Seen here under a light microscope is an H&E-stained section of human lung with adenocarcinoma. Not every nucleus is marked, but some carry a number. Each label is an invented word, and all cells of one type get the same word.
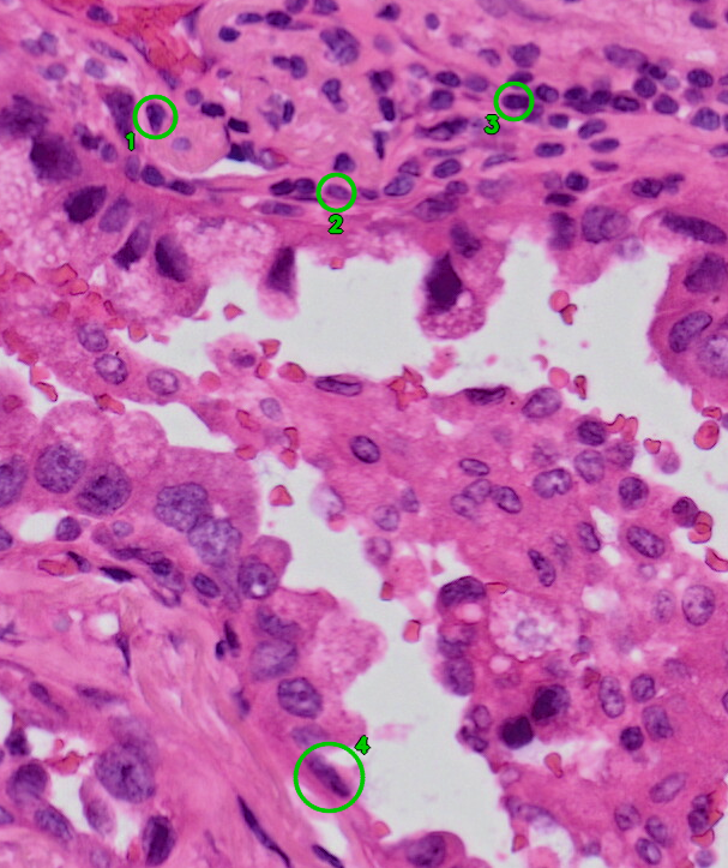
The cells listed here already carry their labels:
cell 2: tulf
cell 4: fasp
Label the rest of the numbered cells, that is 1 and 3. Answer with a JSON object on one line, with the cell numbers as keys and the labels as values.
{"1": "tulf", "3": "tulf"}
